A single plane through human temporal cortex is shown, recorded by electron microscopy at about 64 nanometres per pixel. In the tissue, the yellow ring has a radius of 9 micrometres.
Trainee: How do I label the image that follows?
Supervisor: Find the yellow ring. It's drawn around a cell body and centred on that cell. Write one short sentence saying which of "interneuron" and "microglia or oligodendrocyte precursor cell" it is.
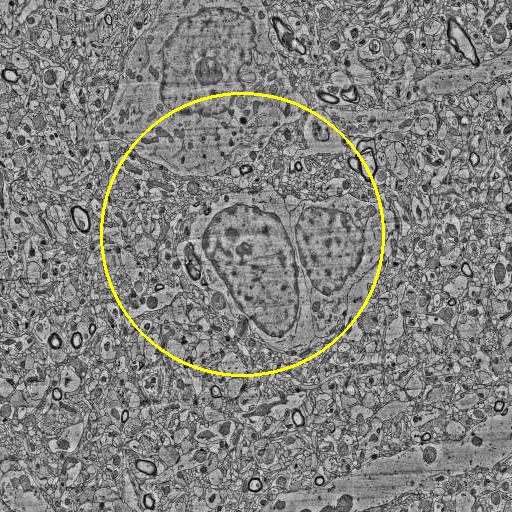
This is the cell body of a microglial cell or oligodendrocyte precursor cell.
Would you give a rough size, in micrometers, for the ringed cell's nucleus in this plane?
In this plane the nucleus is clearly longer than it is wide, at approximately 9 by 5 micrometres.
